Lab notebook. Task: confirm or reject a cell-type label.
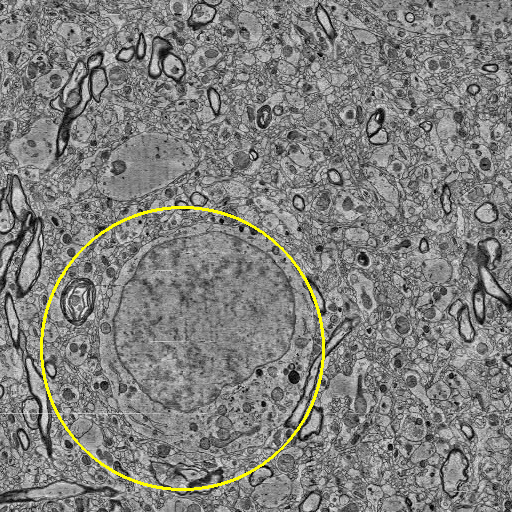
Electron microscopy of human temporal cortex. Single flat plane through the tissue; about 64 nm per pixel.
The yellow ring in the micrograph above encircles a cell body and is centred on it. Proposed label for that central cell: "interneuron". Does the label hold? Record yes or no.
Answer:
yes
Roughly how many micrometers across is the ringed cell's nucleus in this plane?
About 12 micrometers across, in this plane.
